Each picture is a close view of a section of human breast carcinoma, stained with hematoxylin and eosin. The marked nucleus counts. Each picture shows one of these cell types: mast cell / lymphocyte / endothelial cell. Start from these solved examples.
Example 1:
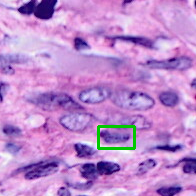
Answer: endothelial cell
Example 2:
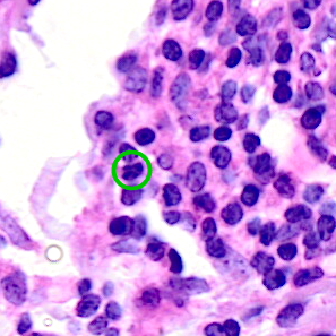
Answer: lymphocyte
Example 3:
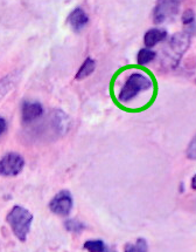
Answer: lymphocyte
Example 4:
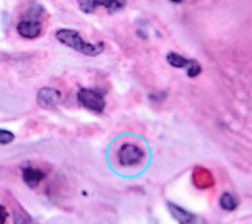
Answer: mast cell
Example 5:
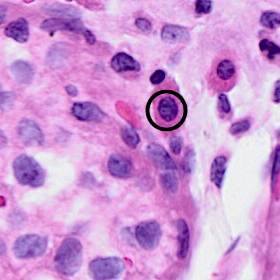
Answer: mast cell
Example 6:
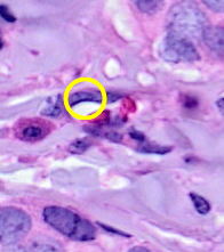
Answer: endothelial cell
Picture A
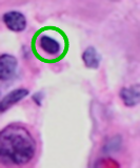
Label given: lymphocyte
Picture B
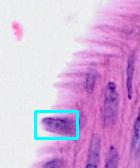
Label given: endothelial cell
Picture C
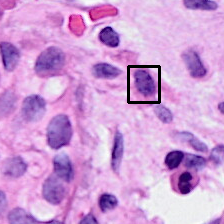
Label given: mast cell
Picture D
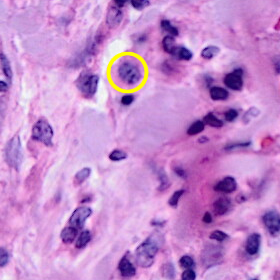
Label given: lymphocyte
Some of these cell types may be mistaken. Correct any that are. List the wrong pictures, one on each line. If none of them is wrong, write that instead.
D: mast cell, not lymphocyte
